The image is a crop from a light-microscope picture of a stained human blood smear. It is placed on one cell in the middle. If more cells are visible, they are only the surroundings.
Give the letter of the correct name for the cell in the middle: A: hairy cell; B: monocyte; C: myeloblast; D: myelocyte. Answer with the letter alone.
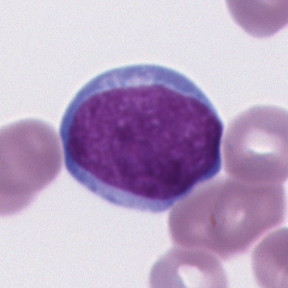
C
